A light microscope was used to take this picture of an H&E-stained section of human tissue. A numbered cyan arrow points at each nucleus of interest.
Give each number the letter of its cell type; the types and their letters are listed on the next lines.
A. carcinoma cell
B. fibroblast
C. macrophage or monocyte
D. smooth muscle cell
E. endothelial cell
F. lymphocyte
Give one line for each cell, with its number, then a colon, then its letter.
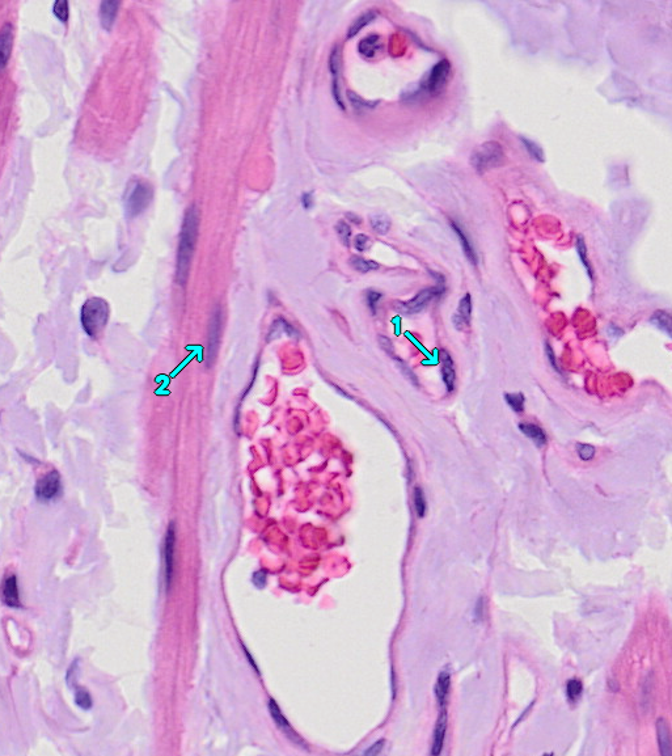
1: E
2: D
